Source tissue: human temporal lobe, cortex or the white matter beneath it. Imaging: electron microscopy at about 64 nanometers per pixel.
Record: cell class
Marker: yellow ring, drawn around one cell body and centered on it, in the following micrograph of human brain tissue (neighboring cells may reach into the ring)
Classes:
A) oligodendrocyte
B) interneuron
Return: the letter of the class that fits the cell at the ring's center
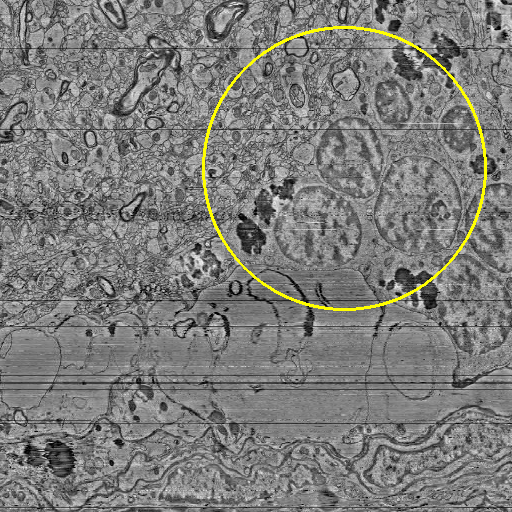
A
